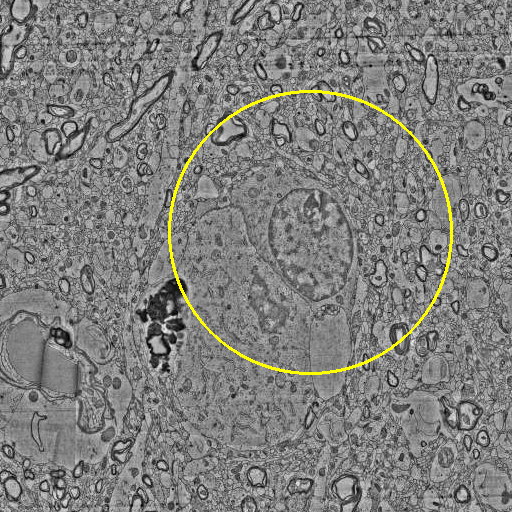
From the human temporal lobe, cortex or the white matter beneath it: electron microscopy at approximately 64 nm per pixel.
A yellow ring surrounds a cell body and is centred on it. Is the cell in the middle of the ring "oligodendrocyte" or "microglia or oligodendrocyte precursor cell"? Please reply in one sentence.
The ring is centred on an oligodendrocyte.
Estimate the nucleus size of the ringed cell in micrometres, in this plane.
Approximately 7 micrometres long and 5 micrometres wide, in this plane.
